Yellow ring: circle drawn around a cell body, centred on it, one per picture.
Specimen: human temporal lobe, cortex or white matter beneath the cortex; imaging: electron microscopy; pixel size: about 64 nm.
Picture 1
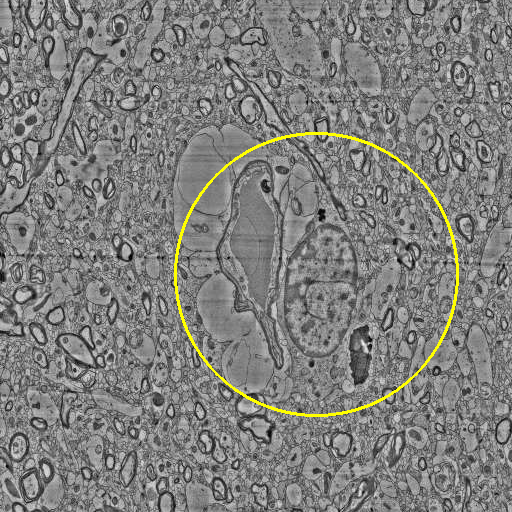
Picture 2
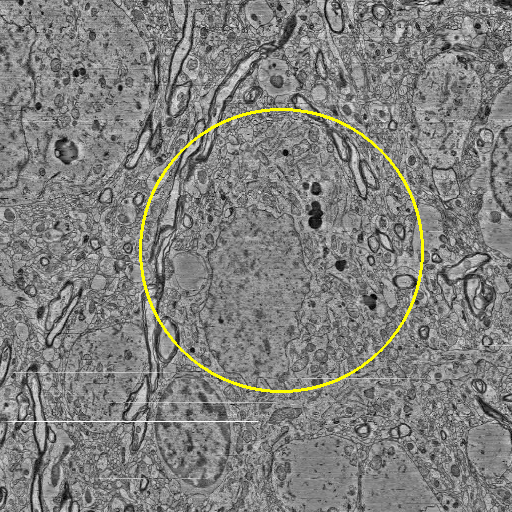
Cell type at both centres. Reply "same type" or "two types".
two types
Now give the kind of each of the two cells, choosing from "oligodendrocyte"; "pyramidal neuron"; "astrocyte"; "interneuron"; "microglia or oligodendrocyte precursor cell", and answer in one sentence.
The cell in the first picture is an oligodendrocyte, and the cell in the second is an interneuron.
